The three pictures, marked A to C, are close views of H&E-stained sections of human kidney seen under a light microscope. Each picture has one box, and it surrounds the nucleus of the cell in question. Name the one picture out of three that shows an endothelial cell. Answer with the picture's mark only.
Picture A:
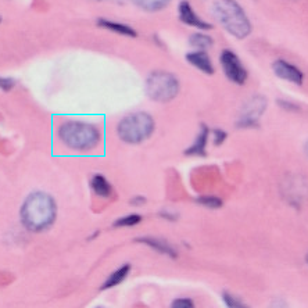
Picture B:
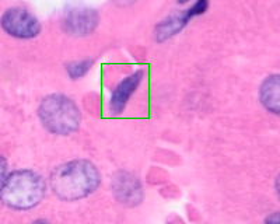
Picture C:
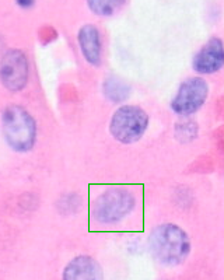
B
